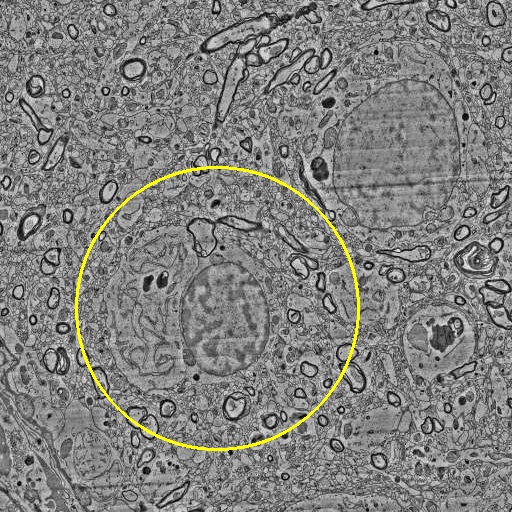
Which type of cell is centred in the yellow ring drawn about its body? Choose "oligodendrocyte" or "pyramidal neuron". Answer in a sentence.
The yellow ring surrounds the cell body of an oligodendrocyte.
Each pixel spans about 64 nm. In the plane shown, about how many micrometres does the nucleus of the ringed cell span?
The nucleus measures about 7 by 6 micrometres in this plane.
